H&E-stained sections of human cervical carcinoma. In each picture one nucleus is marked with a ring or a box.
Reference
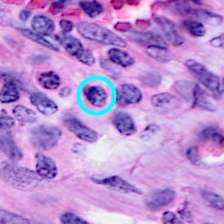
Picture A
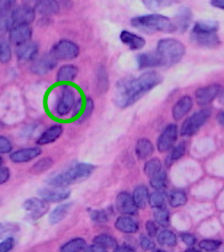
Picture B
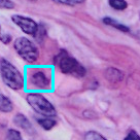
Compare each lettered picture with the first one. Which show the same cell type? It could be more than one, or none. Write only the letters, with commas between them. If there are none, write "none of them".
B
